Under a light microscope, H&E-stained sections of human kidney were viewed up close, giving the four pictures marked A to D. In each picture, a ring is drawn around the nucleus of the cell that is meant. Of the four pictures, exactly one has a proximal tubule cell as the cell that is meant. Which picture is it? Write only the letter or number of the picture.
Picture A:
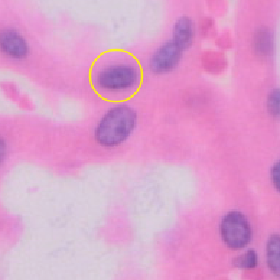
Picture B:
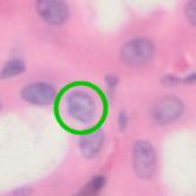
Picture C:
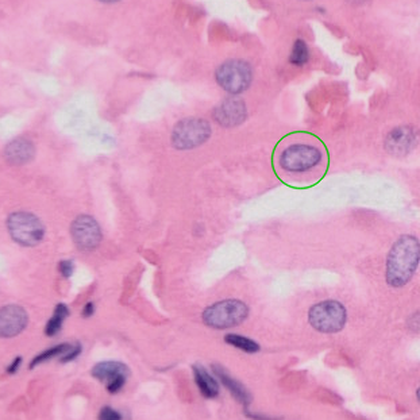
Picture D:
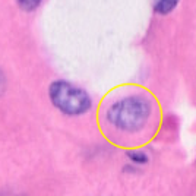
C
